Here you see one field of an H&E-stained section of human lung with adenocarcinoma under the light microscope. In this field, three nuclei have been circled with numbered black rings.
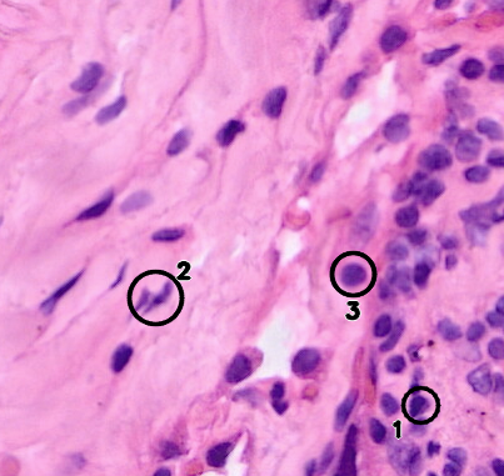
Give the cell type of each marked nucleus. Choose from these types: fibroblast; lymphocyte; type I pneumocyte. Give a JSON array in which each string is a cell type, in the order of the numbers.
["lymphocyte", "fibroblast", "lymphocyte"]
